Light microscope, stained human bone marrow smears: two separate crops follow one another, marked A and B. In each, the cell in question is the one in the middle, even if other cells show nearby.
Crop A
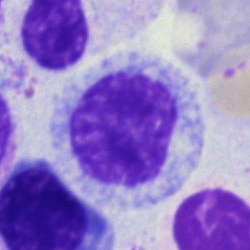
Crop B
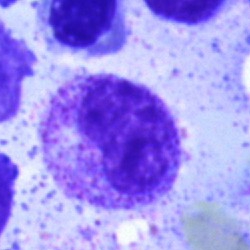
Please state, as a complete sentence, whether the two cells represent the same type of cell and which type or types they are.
Yes, the first and the second crop both show myelocytes.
